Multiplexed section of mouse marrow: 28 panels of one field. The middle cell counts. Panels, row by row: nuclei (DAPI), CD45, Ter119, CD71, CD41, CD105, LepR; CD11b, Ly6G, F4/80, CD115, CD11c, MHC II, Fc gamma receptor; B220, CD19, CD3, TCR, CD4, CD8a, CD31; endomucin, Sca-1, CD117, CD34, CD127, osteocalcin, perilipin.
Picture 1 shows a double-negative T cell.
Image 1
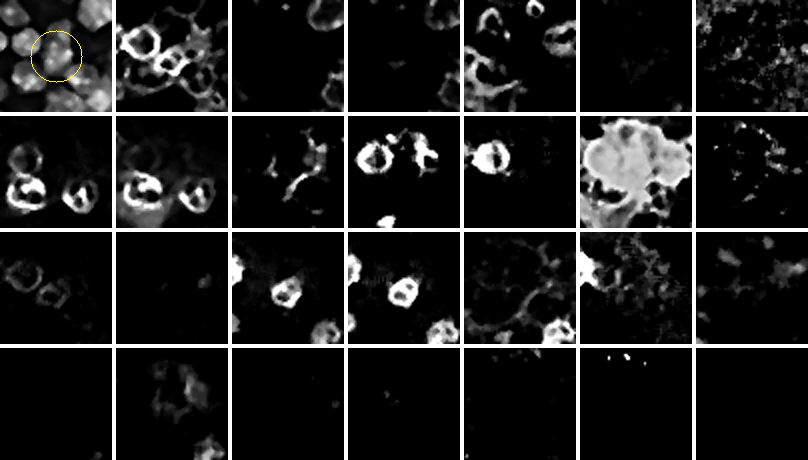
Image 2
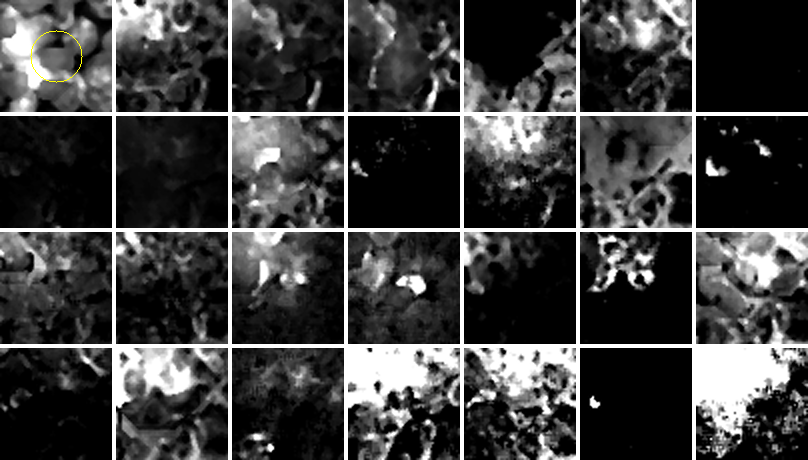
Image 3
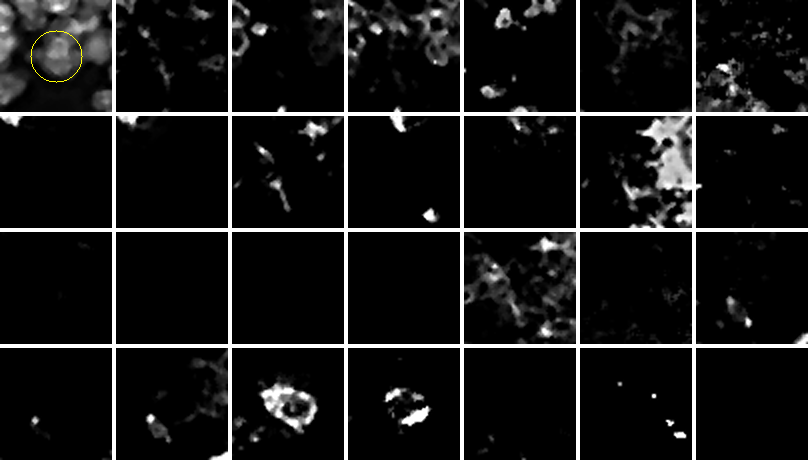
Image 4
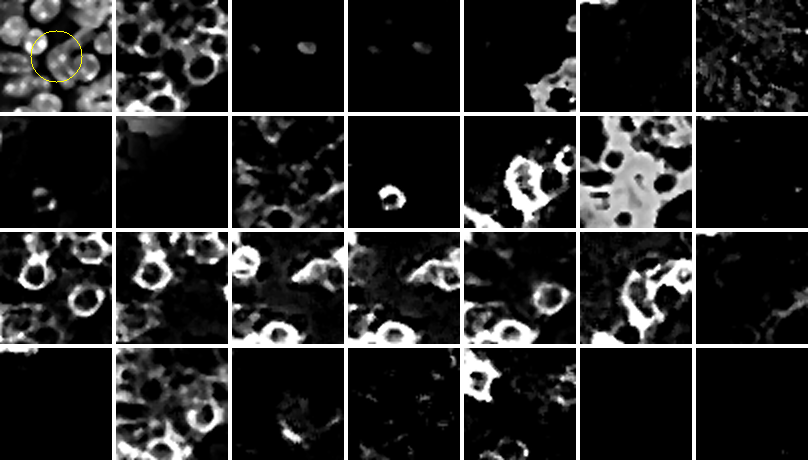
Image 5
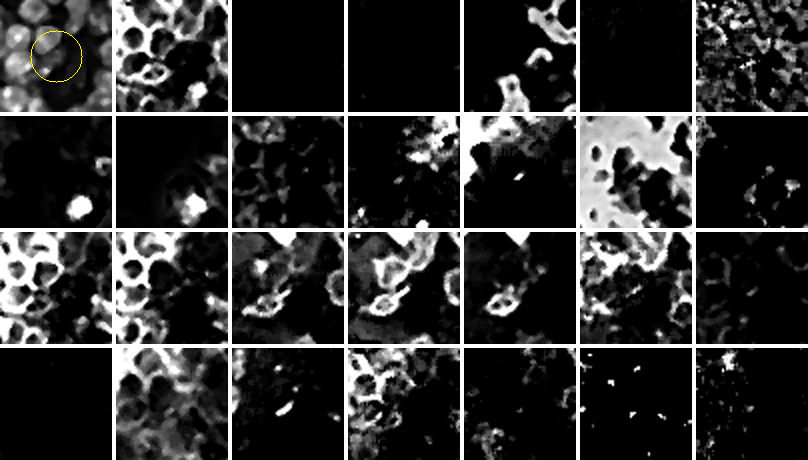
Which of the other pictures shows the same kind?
Picture 2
